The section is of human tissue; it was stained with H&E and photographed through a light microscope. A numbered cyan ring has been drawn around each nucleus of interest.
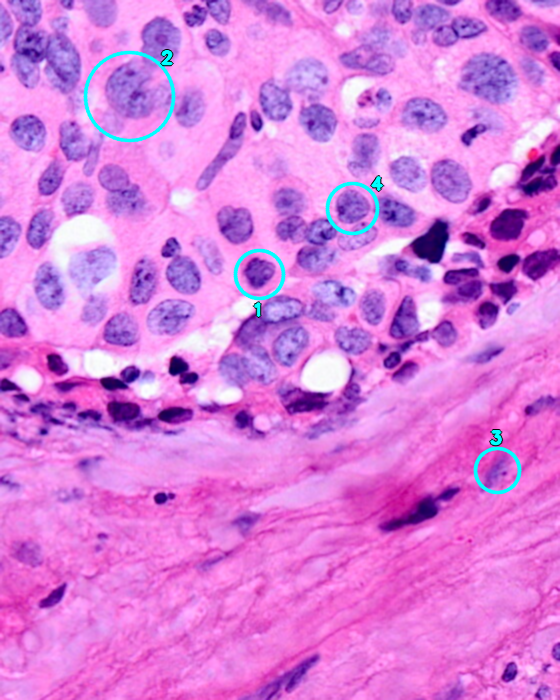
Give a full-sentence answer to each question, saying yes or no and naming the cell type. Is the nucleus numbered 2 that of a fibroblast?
No, a carcinoma cell, not a fibroblast, is the cell with number 2.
